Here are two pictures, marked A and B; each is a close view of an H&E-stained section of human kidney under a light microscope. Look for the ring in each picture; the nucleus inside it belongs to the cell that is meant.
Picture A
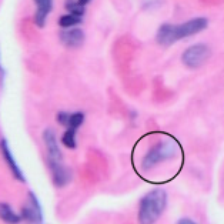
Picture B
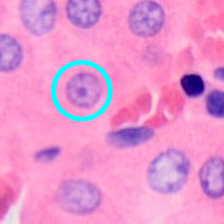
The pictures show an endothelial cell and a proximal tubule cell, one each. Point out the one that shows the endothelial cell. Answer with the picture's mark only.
A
